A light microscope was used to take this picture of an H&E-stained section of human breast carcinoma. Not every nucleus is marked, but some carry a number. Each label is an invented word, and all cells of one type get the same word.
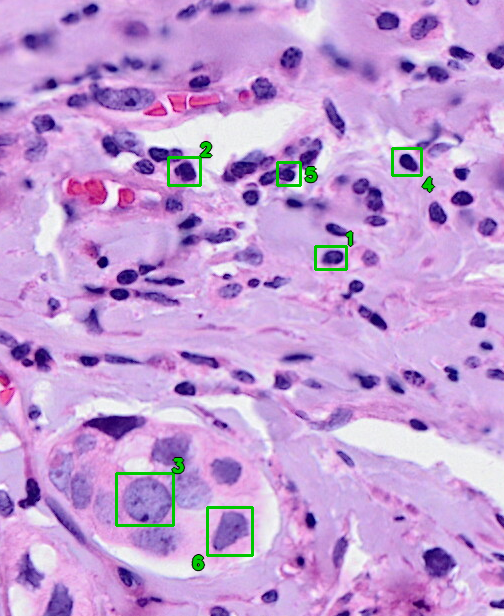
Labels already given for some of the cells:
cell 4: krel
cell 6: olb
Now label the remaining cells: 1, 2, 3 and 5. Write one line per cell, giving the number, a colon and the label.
1: krel
2: krel
3: olb
5: krel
